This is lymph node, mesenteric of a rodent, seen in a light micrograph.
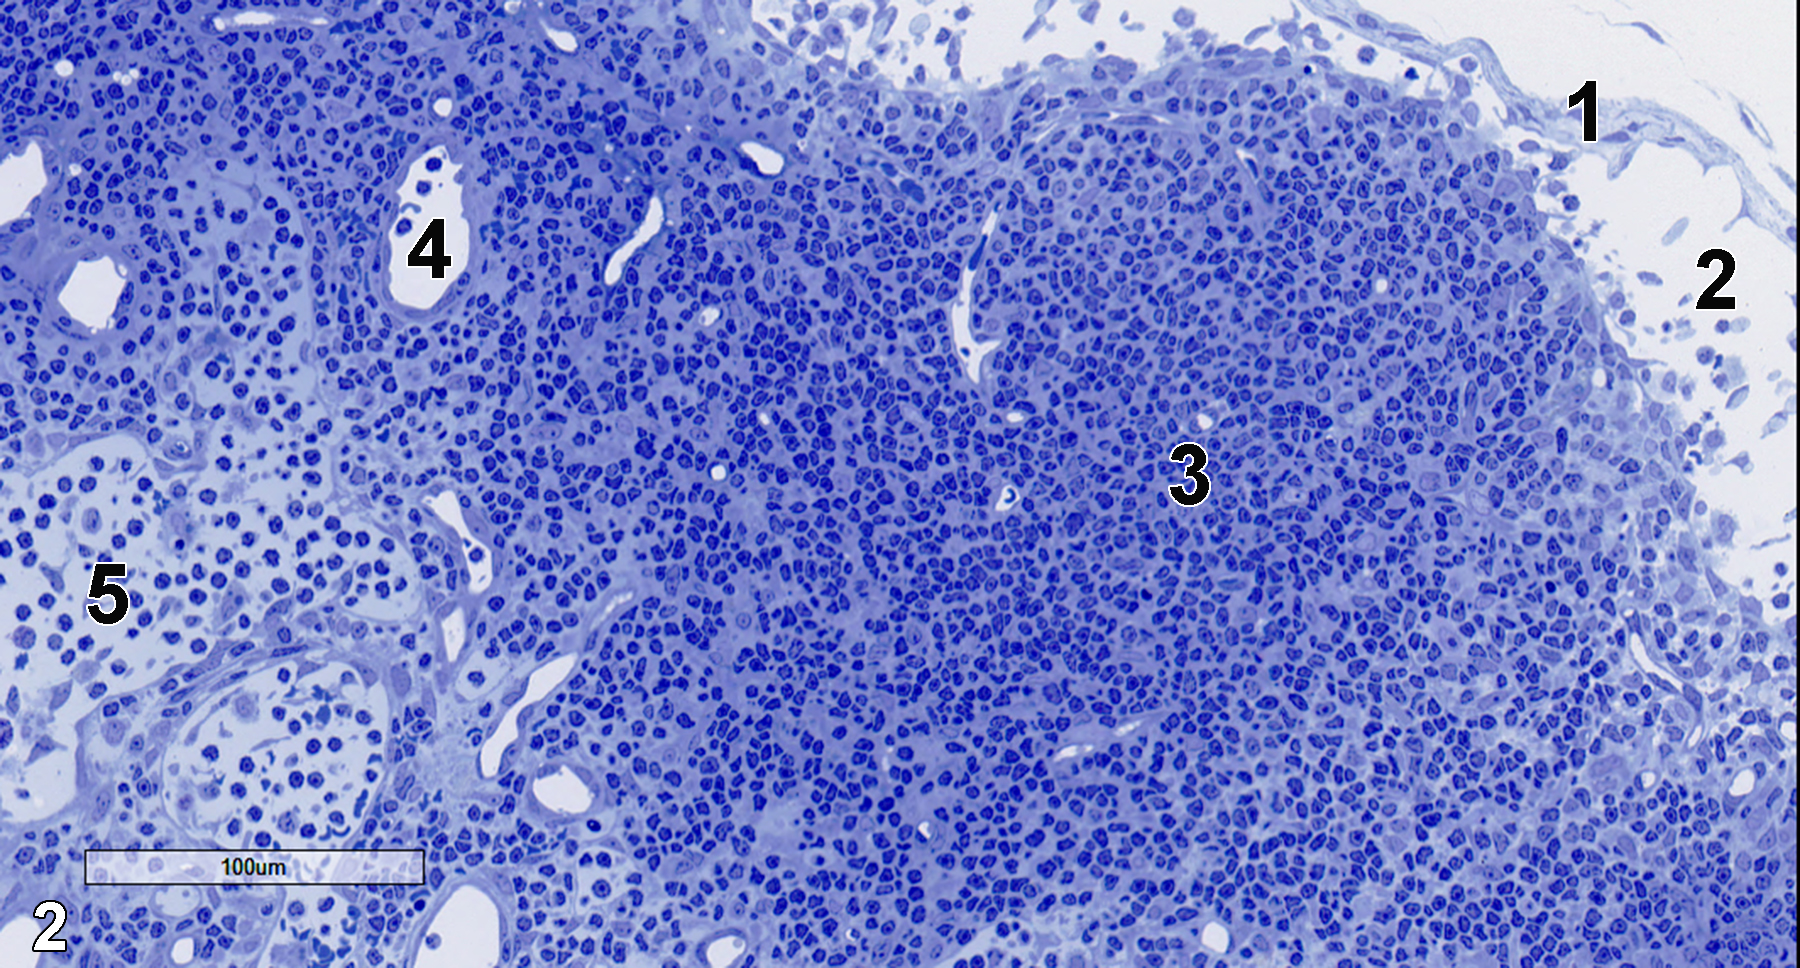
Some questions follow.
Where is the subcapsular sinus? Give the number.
2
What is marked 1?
Capsule.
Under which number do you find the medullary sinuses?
The medullary sinuses: 5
